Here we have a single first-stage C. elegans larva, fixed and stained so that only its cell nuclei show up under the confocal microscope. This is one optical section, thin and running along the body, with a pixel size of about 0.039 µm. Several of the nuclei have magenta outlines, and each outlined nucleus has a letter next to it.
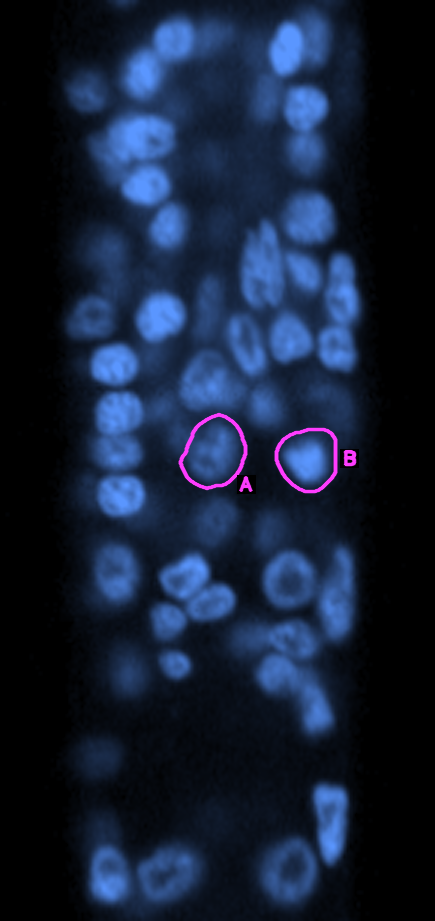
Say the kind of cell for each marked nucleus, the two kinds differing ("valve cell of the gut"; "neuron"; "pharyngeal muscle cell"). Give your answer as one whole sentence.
A is the nucleus of a pharyngeal muscle cell; B is the nucleus of a neuron.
